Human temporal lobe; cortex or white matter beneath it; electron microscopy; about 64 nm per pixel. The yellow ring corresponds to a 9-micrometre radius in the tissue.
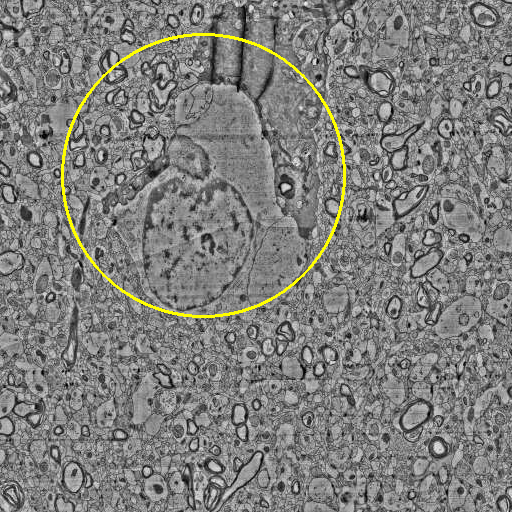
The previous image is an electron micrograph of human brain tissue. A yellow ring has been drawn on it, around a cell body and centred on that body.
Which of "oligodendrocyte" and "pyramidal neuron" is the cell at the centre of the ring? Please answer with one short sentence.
The cell body at the centre of the ring belongs to an oligodendrocyte.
